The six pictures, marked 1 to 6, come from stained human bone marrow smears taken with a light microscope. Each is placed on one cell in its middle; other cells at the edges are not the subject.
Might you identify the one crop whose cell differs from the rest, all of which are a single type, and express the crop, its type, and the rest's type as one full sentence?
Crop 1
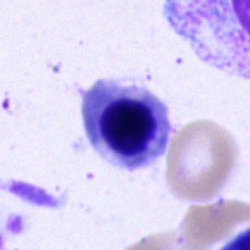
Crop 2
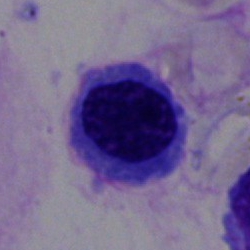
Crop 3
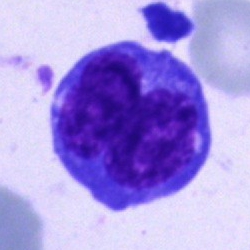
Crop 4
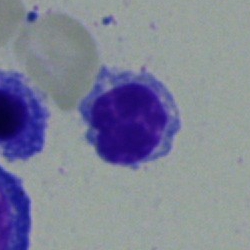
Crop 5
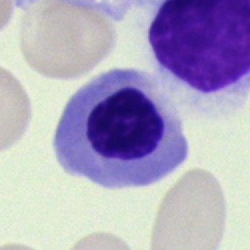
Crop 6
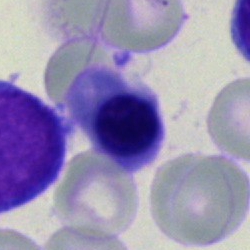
The exception is crop 3: it is a blast, and the others are all erythroblasts.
